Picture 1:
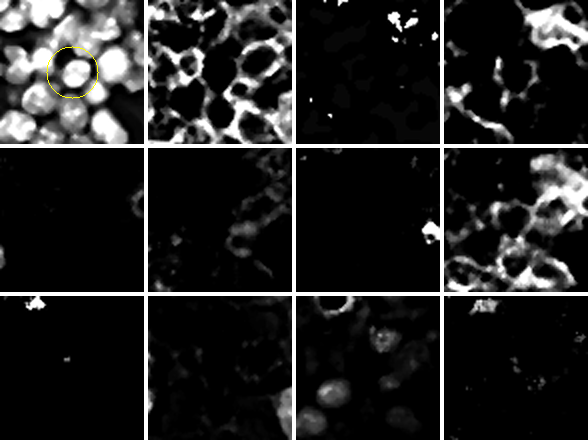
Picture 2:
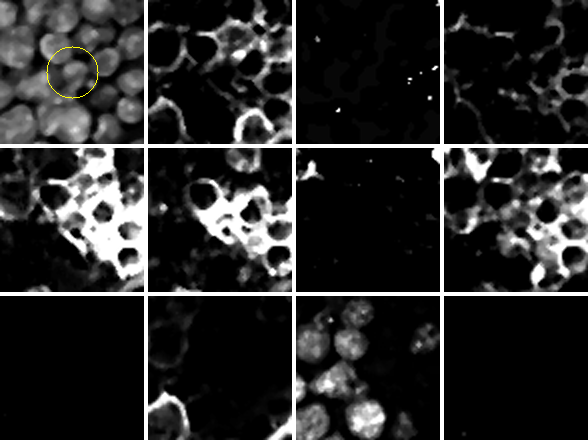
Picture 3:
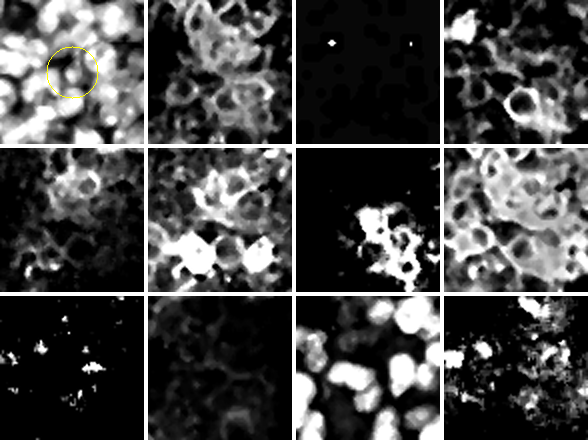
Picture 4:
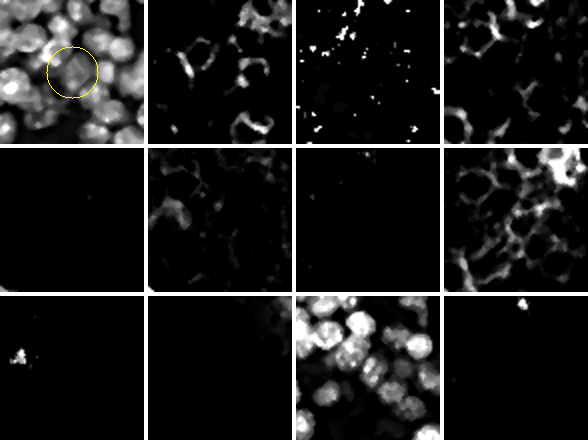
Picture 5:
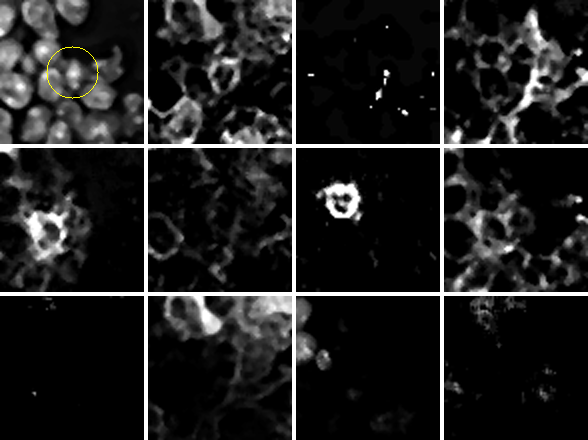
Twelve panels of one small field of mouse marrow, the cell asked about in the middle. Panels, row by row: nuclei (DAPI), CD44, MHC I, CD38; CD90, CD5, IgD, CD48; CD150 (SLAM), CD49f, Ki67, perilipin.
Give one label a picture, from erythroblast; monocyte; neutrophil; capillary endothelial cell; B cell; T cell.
1. monocyte
2. T cell
3. B cell
4. erythroblast
5. neutrophil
